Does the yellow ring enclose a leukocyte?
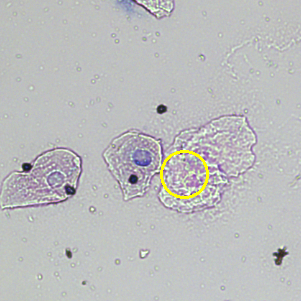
No. The ring encloses a cornified epithelial cell.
